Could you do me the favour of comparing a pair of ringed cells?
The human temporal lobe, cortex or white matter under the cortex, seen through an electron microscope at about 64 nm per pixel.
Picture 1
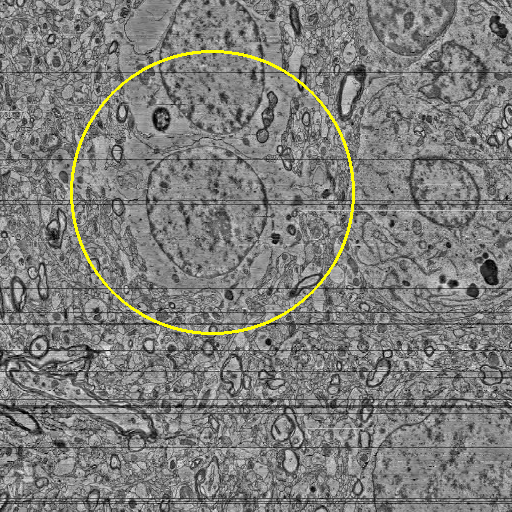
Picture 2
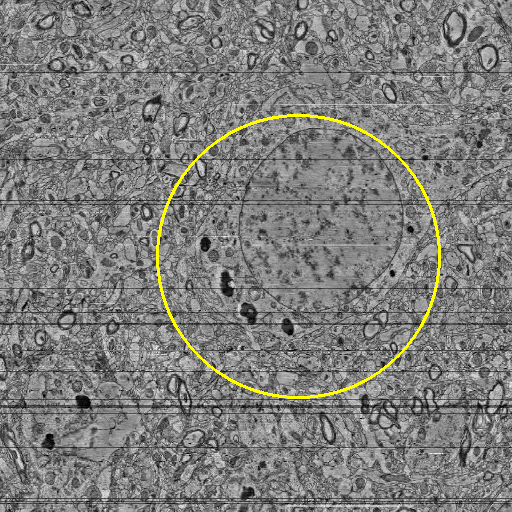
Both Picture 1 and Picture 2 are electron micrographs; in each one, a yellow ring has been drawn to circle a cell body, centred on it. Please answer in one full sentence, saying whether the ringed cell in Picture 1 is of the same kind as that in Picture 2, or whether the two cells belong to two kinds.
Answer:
The ringed cells in Picture 1 and Picture 2 belong to two kinds.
